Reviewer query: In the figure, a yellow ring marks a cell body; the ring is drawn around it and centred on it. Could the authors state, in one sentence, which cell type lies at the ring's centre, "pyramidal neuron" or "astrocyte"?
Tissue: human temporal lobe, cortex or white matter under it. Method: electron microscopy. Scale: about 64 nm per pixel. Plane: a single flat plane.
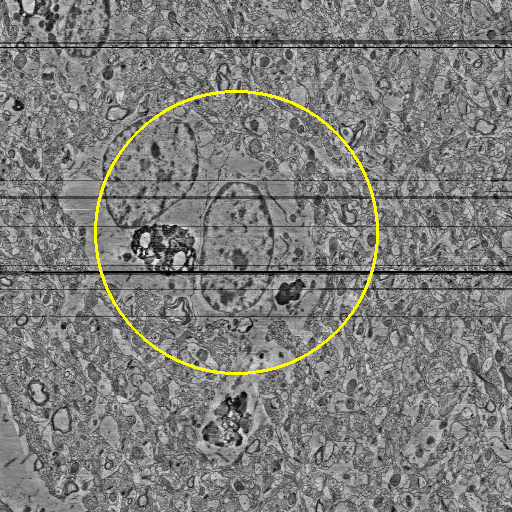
The ring is centred on an astrocyte.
